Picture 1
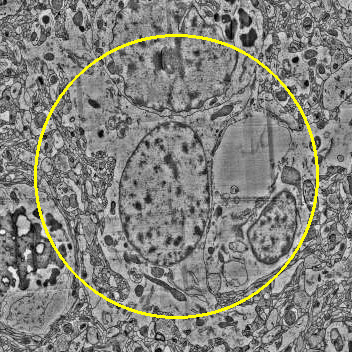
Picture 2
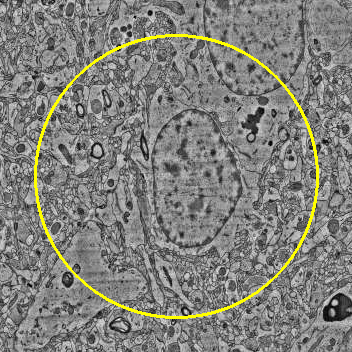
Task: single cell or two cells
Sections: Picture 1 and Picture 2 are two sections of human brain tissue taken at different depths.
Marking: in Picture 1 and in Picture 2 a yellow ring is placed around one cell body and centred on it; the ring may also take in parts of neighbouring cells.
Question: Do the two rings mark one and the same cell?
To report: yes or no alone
no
